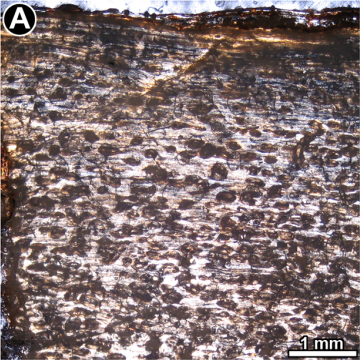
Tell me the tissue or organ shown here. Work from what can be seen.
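A dense layered hard tissue pierced by many small dark rounded and oval canals. A smooth outer surface runs along the top edge. The answer: cortical bone.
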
